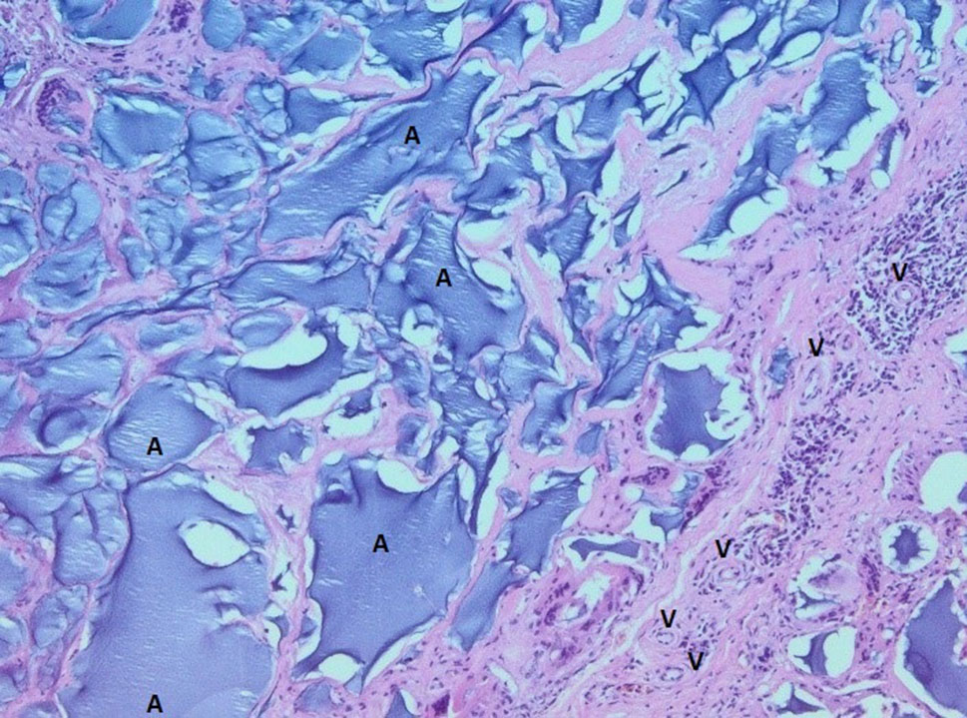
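Tissue taken up for the most part by abundant pale blue-violet basophilic amorphous material. The material is broken into irregular lobules by clefts and divided by thin pink fibrous septa. At one side a pink fibrous stroma holds dense clusters of small dark round nuclei of inflammatory infiltrates, together with small blood vessels that have thick walls.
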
